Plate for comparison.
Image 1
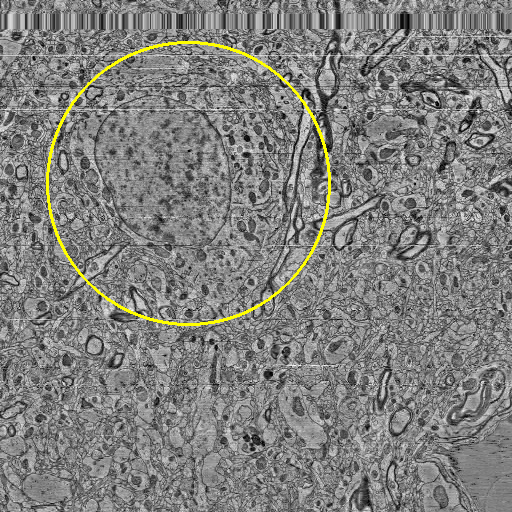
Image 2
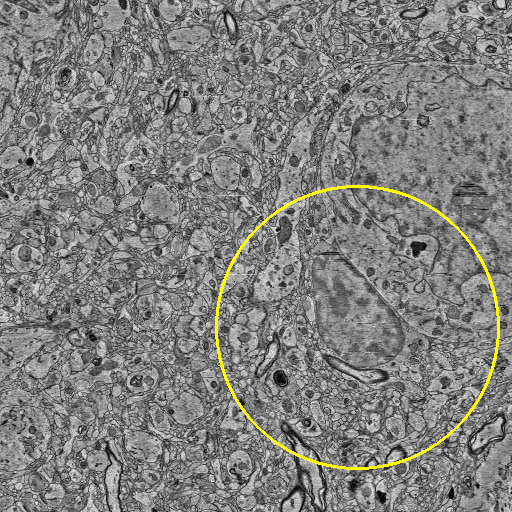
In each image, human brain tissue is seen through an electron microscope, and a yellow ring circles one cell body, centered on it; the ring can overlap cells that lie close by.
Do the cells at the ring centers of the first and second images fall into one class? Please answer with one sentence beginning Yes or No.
No, the first and second images show two classes of cell at the ring centers.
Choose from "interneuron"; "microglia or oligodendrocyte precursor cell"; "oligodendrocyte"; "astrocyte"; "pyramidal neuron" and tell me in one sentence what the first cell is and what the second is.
What the first ring is centred on is an interneuron; what the second ring is centred on is an oligodendrocyte.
